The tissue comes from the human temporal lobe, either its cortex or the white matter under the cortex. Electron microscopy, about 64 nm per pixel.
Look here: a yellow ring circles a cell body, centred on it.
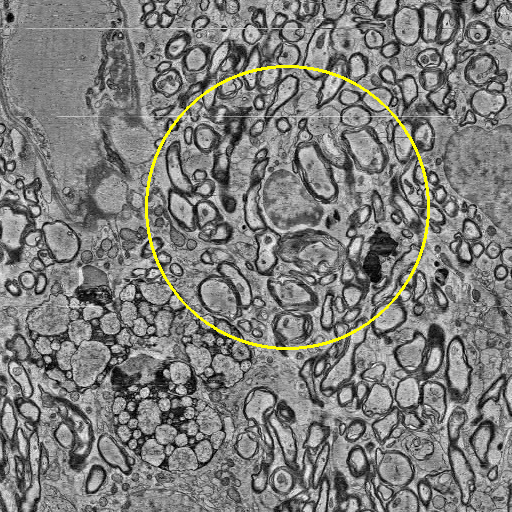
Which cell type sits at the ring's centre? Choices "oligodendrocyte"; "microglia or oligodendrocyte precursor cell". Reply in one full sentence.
The cell at the centre of the yellow ring in the picture is a microglial cell or oligodendrocyte precursor cell.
